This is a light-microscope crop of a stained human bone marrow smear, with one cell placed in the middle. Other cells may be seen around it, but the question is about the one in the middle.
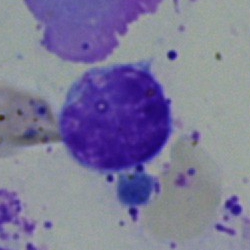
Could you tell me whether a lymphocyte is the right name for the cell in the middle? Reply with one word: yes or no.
yes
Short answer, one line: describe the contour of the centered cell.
The margin of this cell is irregular, showing raggedness or projections instead of smoothness.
